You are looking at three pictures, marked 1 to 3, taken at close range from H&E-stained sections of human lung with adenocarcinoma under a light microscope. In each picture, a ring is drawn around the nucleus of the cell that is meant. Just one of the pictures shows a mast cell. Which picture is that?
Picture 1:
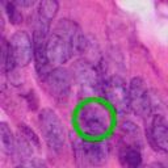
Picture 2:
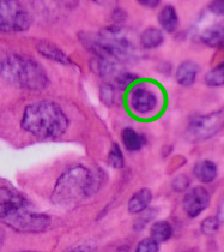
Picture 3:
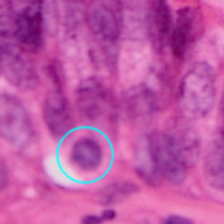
3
